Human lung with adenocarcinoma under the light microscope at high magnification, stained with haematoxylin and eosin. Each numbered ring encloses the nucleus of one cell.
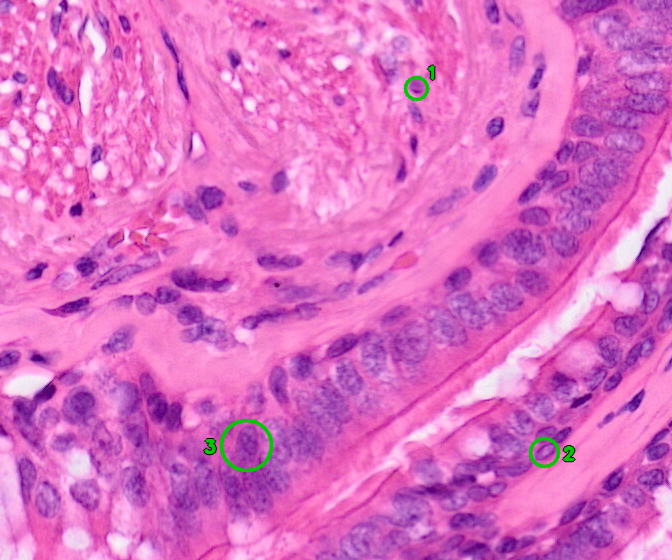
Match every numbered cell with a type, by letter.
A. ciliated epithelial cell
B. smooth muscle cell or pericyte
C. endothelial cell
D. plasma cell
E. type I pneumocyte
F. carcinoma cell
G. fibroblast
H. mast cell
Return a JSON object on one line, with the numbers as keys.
{"1": "B", "2": "A", "3": "A"}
